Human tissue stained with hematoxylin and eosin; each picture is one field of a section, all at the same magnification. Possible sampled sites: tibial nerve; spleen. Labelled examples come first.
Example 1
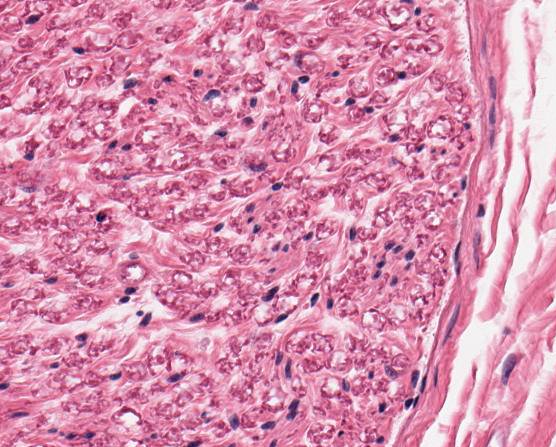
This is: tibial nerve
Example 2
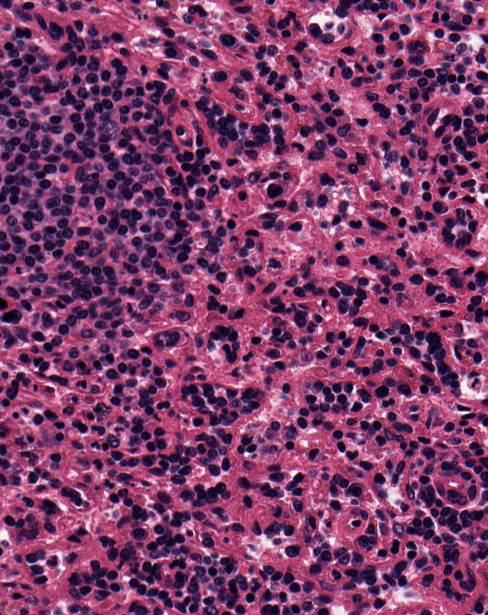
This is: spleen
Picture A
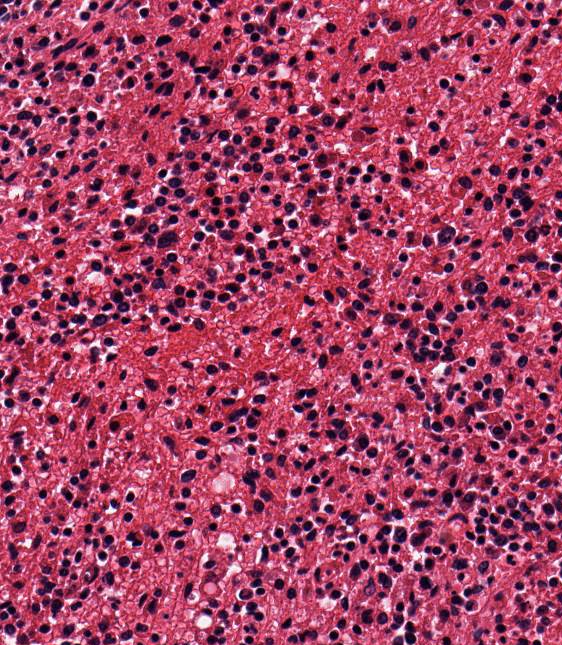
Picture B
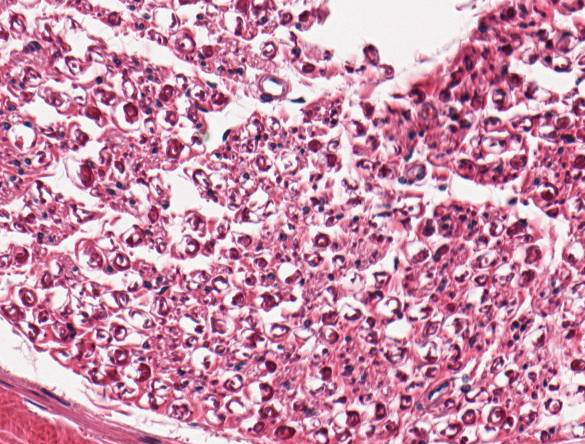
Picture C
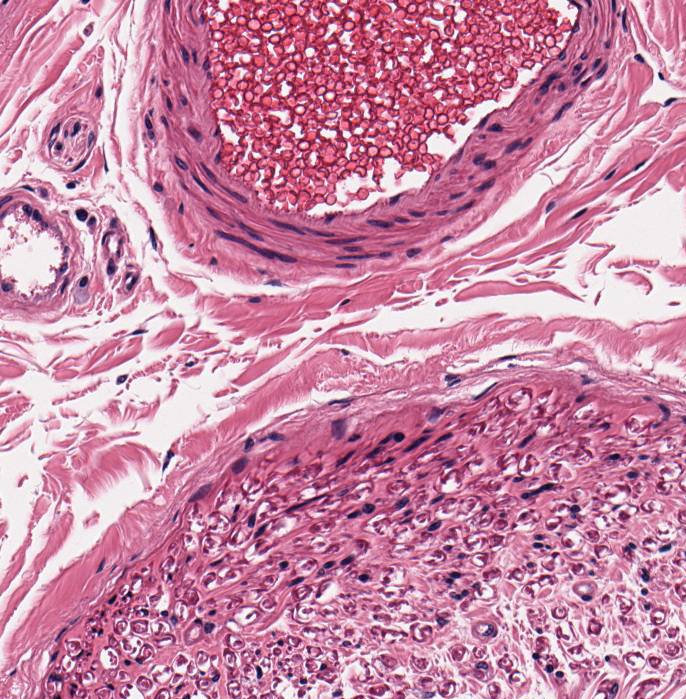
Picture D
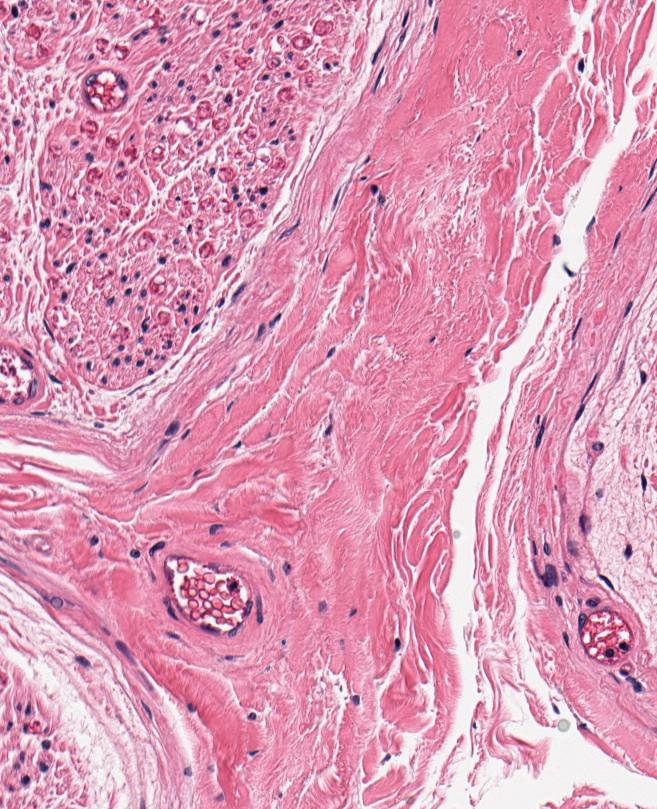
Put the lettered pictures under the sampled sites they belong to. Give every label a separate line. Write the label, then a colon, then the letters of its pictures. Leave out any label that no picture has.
tibial nerve: B, C, D
spleen: A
